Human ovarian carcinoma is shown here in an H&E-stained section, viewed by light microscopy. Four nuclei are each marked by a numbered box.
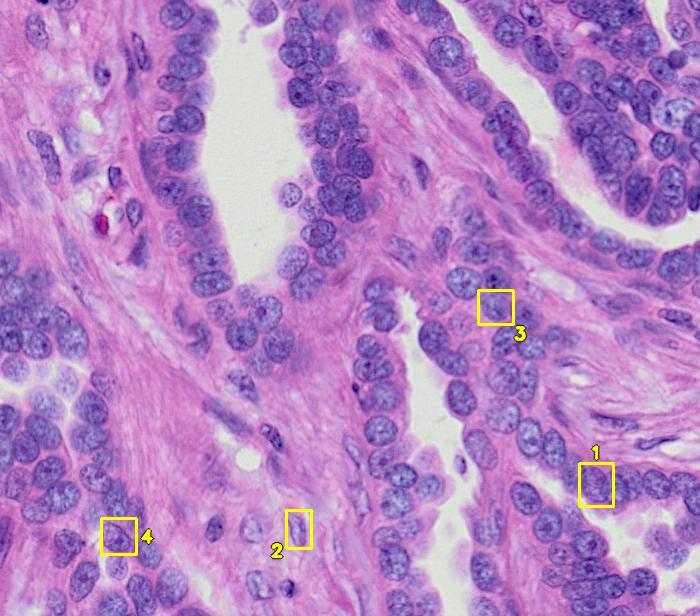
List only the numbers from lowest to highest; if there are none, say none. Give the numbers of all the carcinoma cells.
1, 3, 4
